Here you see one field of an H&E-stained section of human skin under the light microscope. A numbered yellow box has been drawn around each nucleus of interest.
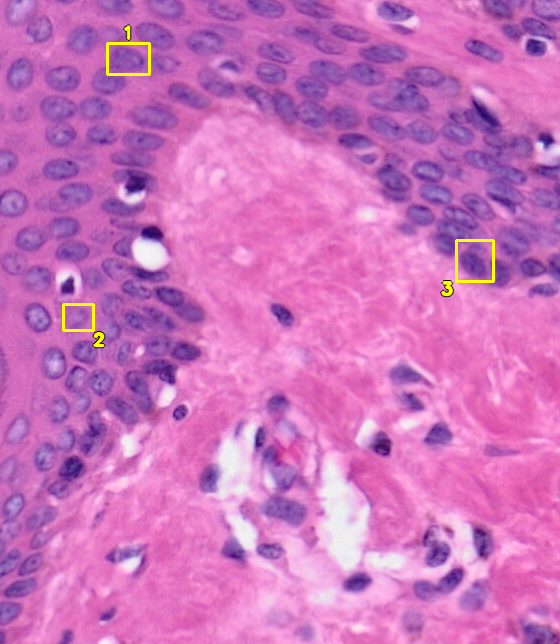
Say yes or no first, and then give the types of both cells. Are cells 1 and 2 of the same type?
Yes, both cell 1 and cell 2 count among the suprabasal keratinocytes.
